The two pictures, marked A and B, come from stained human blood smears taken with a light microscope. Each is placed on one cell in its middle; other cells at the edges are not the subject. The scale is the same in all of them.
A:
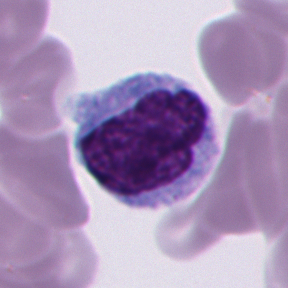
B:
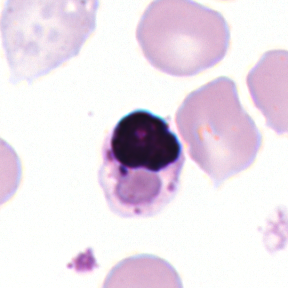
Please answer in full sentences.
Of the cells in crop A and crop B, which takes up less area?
The cell in crop B is smaller; the one in crop A has about 2.5 times its area.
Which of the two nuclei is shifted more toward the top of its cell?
In crop B the nucleus is shifted more toward the top.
